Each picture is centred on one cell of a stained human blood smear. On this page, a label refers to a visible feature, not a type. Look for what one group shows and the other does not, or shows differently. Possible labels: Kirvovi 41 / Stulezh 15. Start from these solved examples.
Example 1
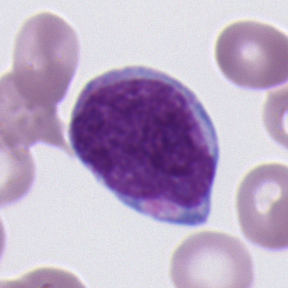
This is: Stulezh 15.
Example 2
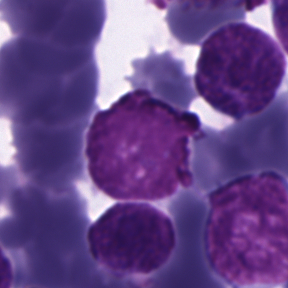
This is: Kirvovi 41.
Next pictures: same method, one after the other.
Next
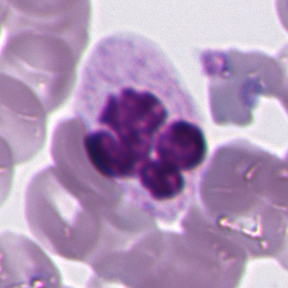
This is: Stulezh 15.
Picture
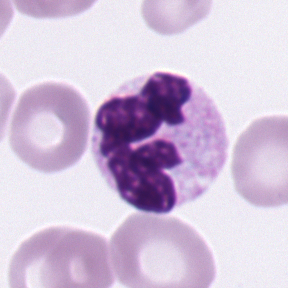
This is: Stulezh 15.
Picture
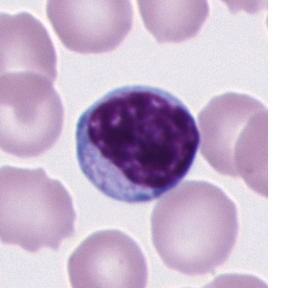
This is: Stulezh 15.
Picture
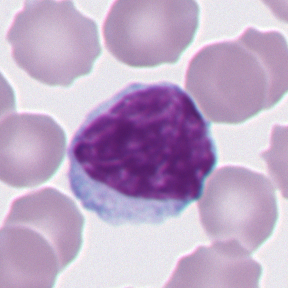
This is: Stulezh 15.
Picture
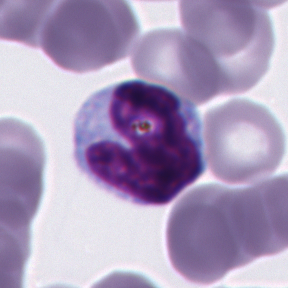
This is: Stulezh 15.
